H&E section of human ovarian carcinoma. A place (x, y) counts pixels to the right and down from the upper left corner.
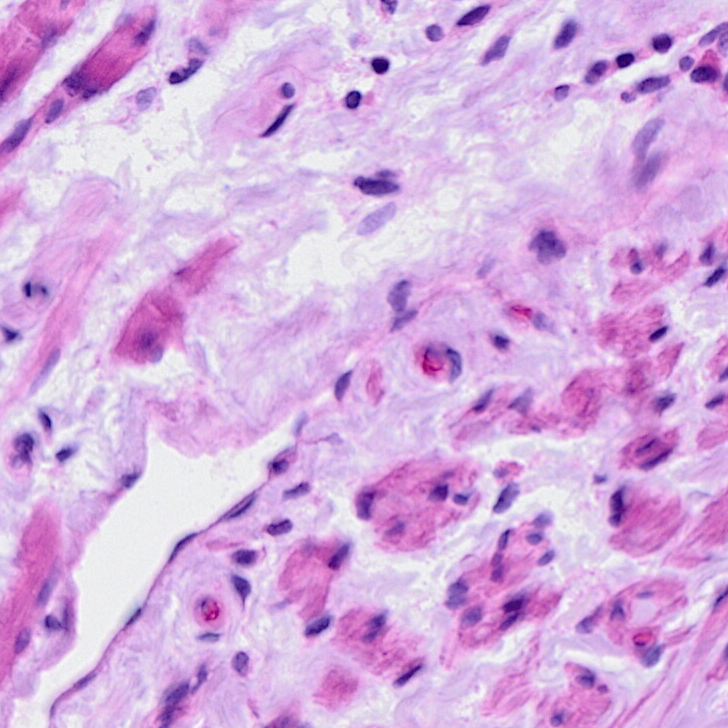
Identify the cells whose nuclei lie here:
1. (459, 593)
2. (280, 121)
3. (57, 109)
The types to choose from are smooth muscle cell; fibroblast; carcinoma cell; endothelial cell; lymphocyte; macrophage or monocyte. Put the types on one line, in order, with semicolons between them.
smooth muscle cell; fibroblast; smooth muscle cell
